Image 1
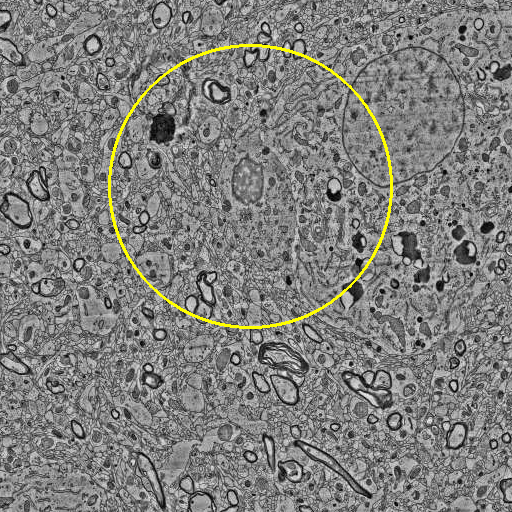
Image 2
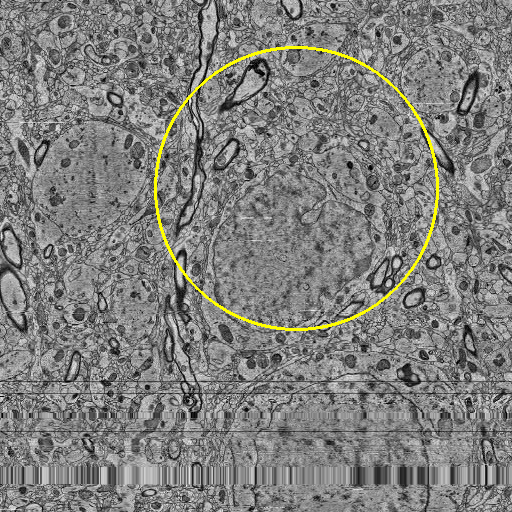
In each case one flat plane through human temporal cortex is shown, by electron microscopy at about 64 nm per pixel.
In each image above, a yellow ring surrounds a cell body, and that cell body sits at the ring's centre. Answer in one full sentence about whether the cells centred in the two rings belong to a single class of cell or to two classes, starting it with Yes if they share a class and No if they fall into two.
No, the cells centred in the two yellow rings belong to two classes of cell.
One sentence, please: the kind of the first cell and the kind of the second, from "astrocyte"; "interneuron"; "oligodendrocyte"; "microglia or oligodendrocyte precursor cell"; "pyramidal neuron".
The ring in the first picture surrounds an oligodendrocyte, and the ring in the second surrounds an interneuron.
